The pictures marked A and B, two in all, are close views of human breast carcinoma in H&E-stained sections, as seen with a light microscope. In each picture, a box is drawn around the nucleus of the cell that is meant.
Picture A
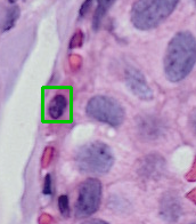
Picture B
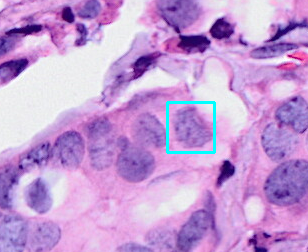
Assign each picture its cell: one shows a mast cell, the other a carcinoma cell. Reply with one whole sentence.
Picture A is of a mast cell, and picture B is of a carcinoma cell.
